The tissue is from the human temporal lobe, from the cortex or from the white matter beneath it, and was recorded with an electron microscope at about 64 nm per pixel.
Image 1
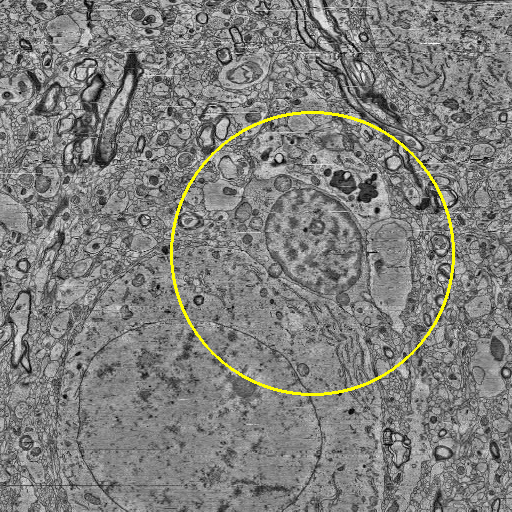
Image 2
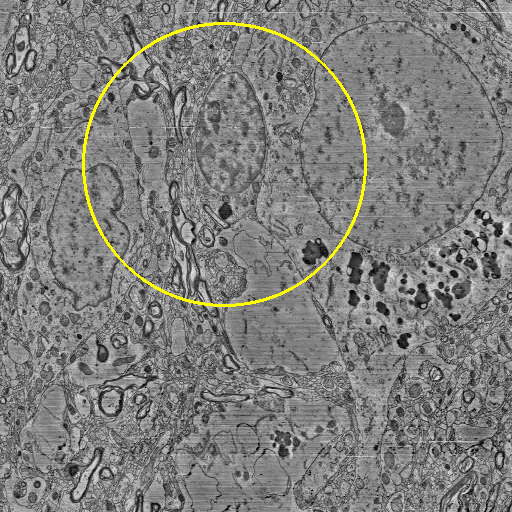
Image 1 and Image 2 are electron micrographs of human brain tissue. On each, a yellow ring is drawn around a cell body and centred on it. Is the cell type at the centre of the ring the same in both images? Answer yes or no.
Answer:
yes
